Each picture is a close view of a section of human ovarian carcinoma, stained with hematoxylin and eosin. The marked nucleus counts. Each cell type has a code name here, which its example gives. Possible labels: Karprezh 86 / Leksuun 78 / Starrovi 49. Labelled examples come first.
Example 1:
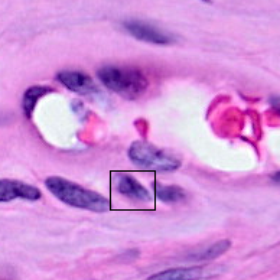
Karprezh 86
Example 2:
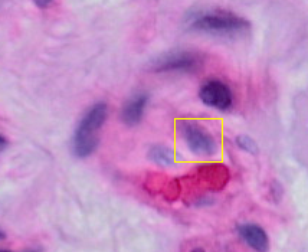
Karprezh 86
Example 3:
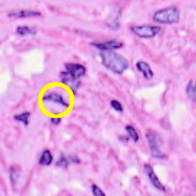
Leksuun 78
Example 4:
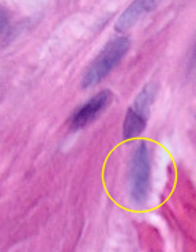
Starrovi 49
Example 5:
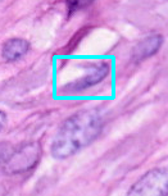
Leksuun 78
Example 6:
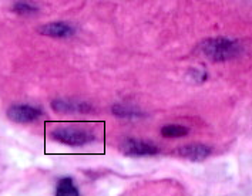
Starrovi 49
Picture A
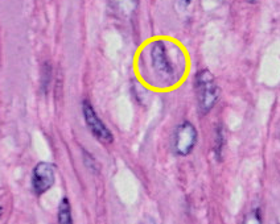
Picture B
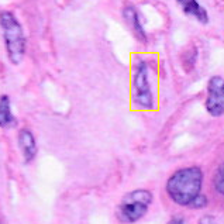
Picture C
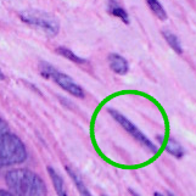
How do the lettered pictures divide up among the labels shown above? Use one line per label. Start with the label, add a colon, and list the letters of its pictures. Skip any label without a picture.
Leksuun 78: A, B, C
